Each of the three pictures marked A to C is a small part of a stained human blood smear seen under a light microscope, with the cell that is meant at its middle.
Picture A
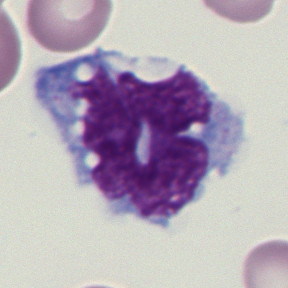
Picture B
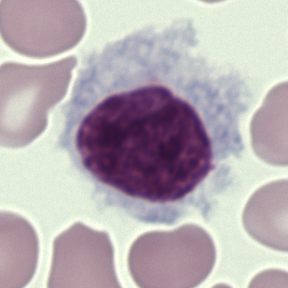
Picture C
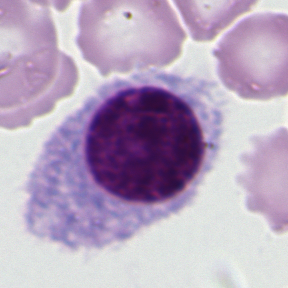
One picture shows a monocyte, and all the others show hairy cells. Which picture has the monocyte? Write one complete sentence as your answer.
Picture A is the one that shows the monocyte.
